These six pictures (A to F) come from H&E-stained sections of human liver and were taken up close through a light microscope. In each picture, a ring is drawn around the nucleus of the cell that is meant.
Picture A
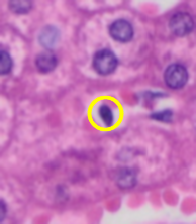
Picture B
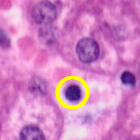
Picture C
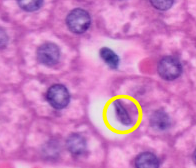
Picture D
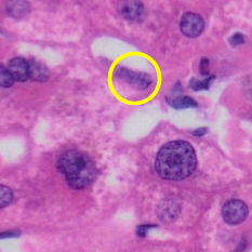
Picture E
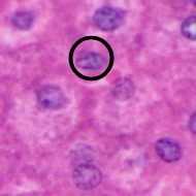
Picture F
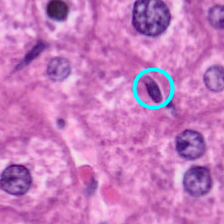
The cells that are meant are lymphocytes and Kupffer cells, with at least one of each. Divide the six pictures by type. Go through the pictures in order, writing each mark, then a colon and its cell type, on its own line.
A: lymphocyte
B: lymphocyte
C: Kupffer cell
D: Kupffer cell
E: Kupffer cell
F: lymphocyte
